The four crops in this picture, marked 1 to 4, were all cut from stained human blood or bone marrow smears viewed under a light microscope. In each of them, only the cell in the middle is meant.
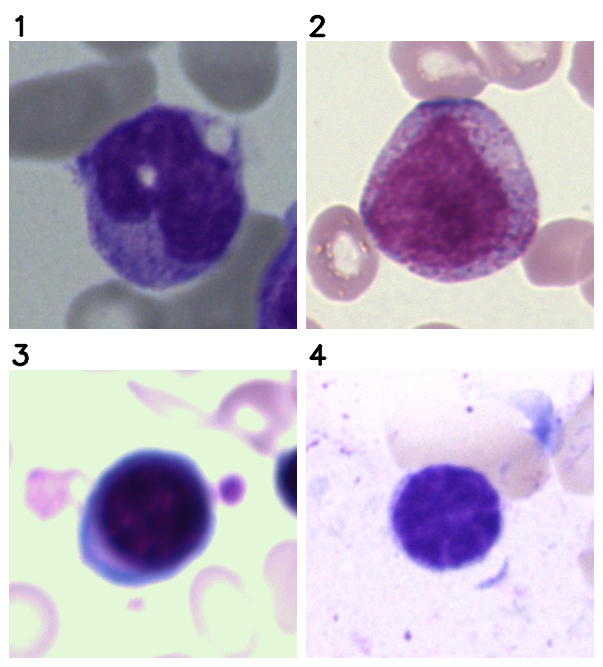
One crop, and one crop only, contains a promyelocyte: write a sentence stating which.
Crop 2 is the crop whose central cell is a promyelocyte.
